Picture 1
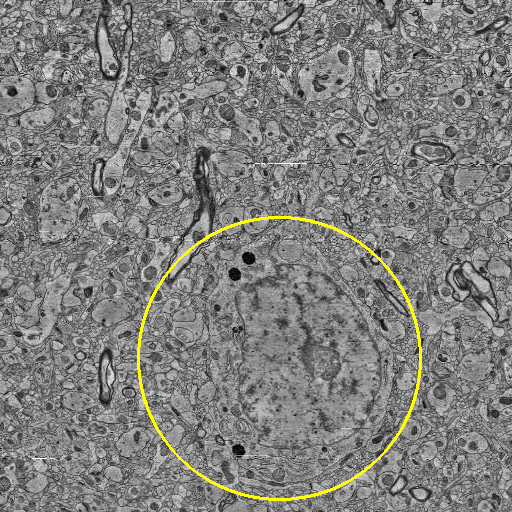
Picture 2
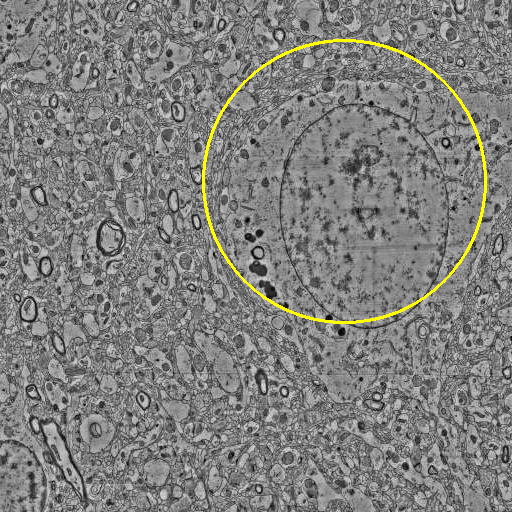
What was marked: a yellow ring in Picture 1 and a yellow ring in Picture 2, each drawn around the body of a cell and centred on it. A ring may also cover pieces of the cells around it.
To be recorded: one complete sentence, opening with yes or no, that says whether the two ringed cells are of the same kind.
No, the two ringed cells are of two kinds.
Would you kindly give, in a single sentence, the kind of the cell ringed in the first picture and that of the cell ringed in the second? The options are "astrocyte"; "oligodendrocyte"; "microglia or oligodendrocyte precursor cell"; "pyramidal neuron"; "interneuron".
The second cell is a pyramidal neuron, and the first cell is an interneuron.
